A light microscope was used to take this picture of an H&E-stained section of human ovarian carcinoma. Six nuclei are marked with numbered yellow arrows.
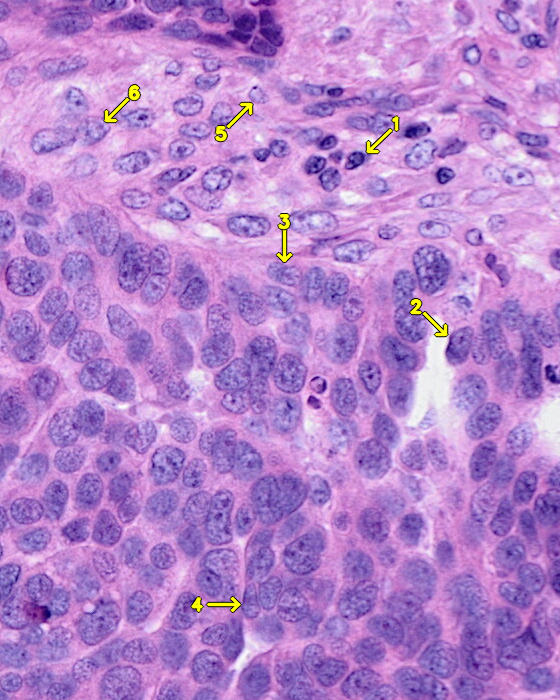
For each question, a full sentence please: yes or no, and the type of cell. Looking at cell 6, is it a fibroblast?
Yes, the cell identified by number 6 is a fibroblast.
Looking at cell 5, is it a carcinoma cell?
No, with respect, cell 5 is a fibroblast rather than a carcinoma cell.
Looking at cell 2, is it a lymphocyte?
No, the cell numbered 2 is a carcinoma cell rather than a lymphocyte.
